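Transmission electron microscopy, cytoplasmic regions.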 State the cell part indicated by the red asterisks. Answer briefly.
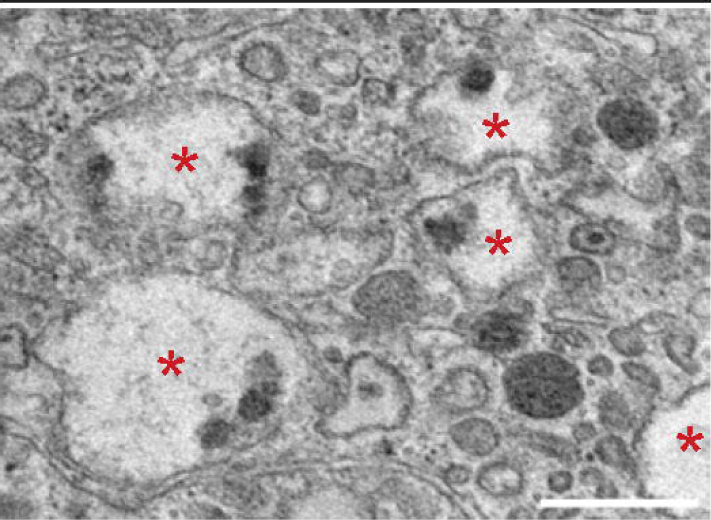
large vacuoles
